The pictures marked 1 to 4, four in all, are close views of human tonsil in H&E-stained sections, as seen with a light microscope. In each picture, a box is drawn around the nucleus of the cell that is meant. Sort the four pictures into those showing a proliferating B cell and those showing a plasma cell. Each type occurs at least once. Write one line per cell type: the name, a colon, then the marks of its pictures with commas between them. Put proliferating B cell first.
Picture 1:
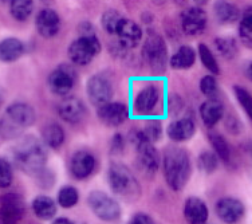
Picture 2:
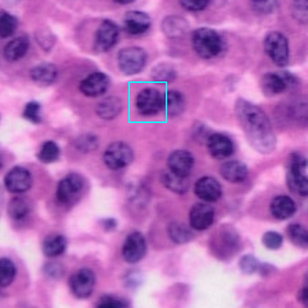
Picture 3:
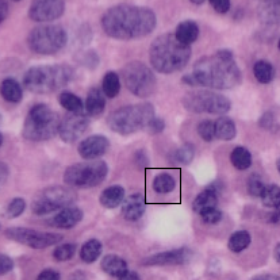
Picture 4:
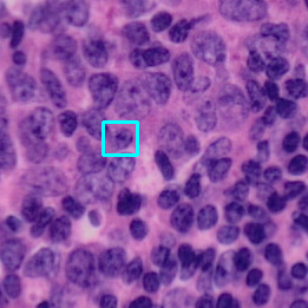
proliferating B cell: 4
plasma cell: 1, 2, 3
